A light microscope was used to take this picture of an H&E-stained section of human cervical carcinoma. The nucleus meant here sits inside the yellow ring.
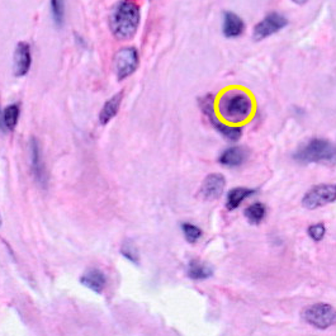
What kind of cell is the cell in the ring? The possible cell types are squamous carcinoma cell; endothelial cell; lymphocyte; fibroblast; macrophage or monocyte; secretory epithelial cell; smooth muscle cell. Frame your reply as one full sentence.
Speaking plainly, the cell in the ring is nothing other than an endothelial cell.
